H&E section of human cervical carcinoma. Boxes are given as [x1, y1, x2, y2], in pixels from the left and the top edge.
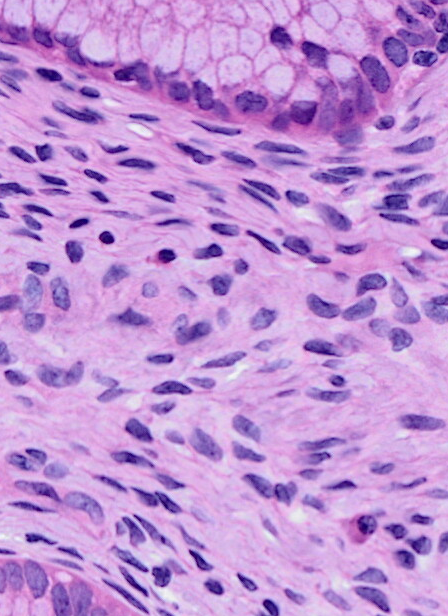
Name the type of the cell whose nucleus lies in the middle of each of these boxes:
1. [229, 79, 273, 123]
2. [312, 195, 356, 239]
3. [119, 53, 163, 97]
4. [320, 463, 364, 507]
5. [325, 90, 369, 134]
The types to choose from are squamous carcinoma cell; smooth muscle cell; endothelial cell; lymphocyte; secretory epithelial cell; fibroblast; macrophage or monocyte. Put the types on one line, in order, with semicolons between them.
secretory epithelial cell; fibroblast; secretory epithelial cell; fibroblast; secretory epithelial cell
